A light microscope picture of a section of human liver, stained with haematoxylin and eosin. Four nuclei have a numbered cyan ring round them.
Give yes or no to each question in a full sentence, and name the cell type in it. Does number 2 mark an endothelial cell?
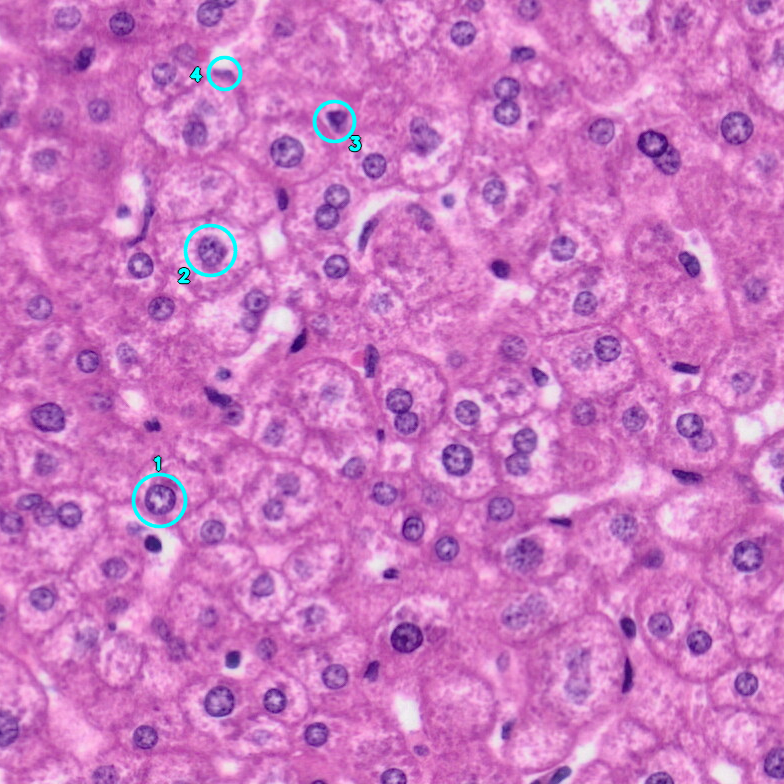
No, as for cell 2, it is a hepatocyte and not an endothelial cell.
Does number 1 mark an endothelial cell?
No, the cell indicated by 1 is a hepatocyte instead of an endothelial cell.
